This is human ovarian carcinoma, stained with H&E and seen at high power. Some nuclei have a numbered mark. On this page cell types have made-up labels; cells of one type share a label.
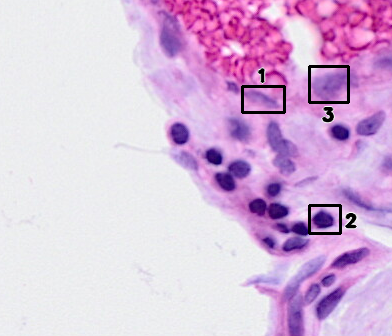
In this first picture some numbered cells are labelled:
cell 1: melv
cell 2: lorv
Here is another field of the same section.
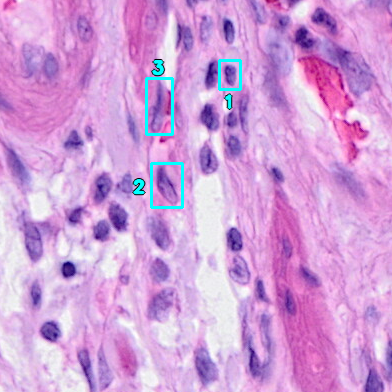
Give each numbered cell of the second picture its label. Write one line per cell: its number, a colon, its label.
1: lorv
2: melv
3: melv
